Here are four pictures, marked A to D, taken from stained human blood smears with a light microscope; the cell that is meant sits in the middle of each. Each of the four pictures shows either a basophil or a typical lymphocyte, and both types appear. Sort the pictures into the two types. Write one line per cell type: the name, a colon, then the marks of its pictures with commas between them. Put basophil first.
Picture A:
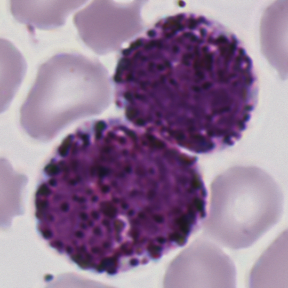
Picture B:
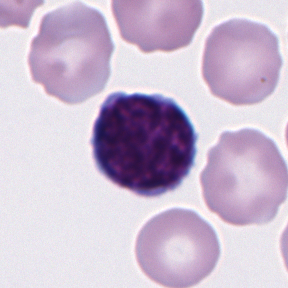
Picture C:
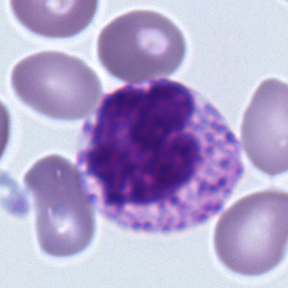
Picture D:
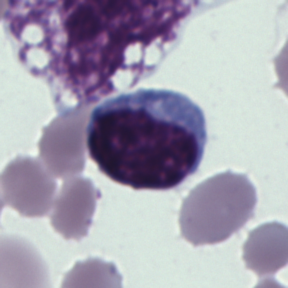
basophil: A, C
typical lymphocyte: B, D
